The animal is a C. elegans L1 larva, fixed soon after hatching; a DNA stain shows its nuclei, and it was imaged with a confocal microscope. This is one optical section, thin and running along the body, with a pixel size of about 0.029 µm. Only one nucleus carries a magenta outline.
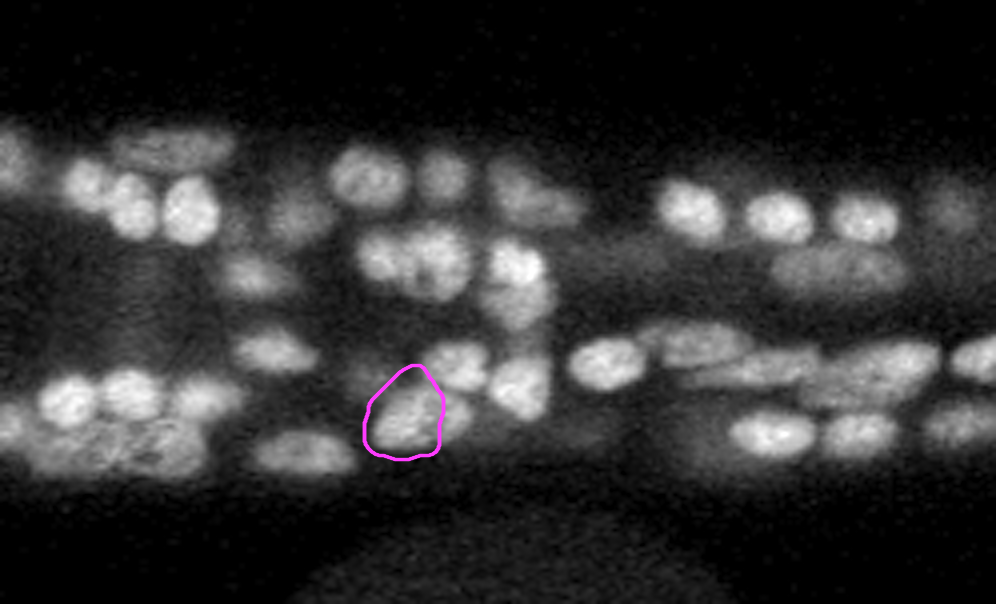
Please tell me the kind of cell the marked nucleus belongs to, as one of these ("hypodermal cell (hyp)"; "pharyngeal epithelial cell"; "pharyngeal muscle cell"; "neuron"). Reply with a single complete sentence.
The cell with the marked nucleus is a pharyngeal muscle cell.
